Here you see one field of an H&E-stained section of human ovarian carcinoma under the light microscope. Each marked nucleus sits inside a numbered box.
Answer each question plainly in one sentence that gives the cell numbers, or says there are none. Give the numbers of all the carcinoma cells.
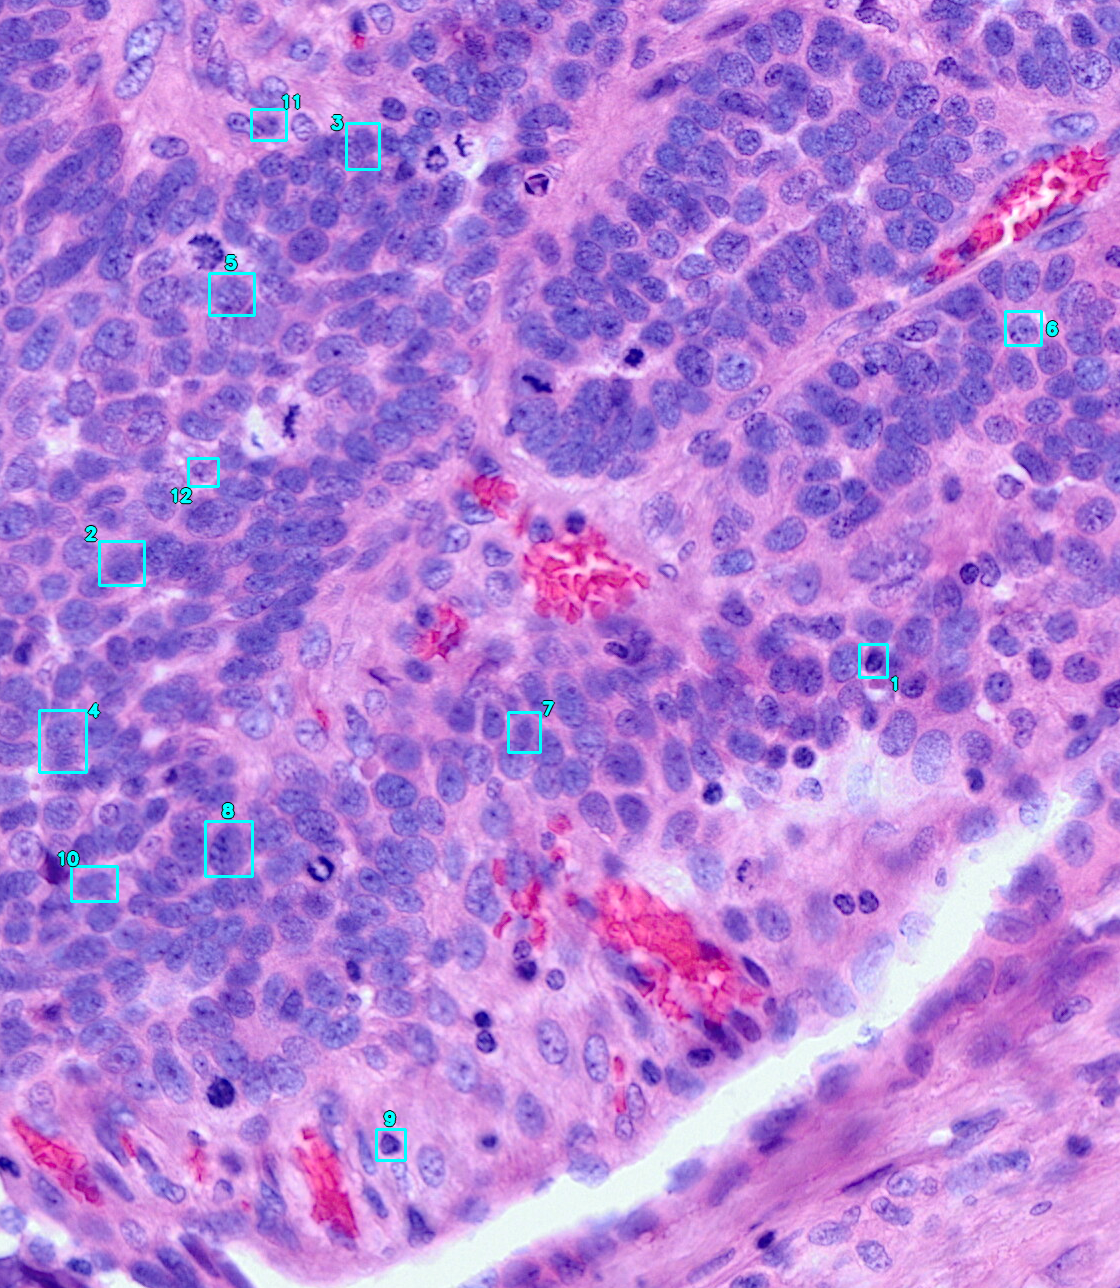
The cells shown with numbers 2, 3, 4, 5, 7, 8 and 10 are carcinoma cells.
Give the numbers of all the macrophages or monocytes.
The cells with labels 6, 11 and 12 are macrophages or monocytes.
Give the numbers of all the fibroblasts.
No numbered cell in this section is one of the fibroblasts.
